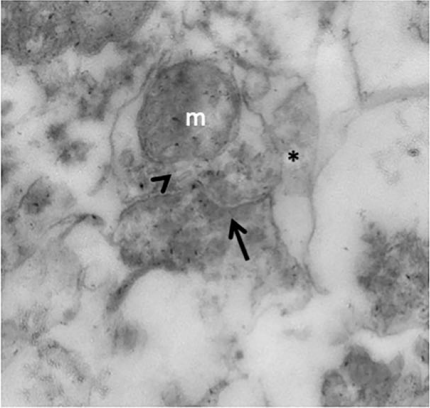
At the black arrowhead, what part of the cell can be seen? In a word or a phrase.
Presynaptic vesicles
